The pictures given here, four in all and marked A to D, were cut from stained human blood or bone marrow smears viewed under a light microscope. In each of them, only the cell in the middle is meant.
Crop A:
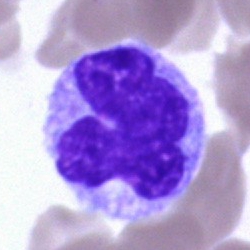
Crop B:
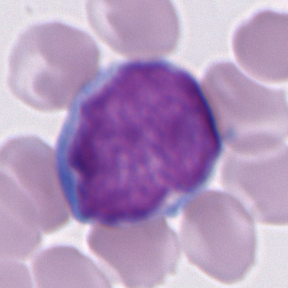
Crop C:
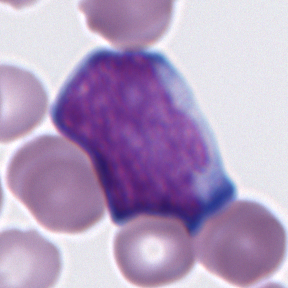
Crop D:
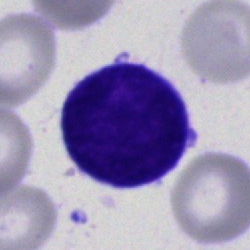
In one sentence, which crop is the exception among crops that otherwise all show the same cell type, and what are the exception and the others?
Crop A differs from the others in showing a monocyte; the rest all show blasts.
